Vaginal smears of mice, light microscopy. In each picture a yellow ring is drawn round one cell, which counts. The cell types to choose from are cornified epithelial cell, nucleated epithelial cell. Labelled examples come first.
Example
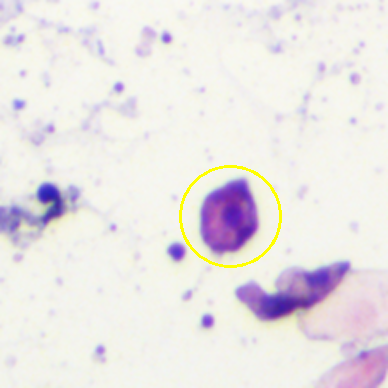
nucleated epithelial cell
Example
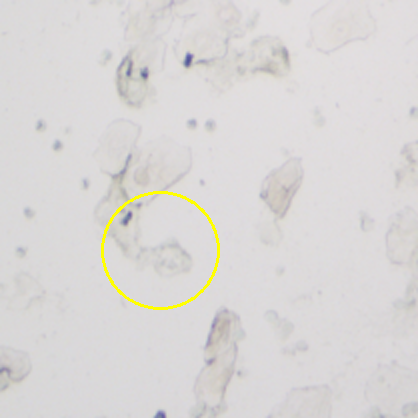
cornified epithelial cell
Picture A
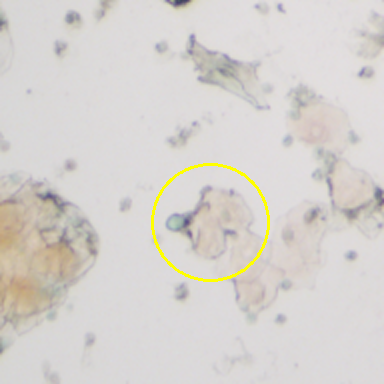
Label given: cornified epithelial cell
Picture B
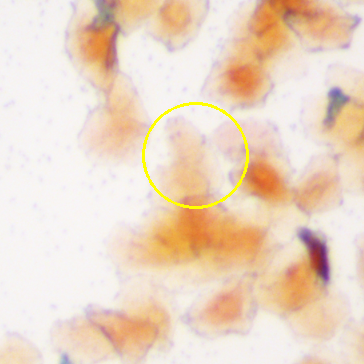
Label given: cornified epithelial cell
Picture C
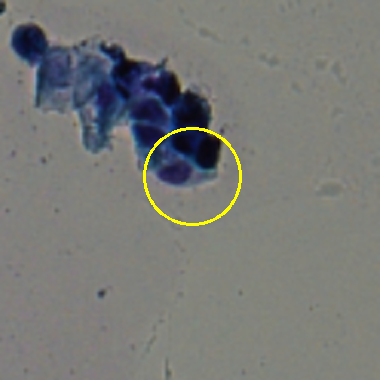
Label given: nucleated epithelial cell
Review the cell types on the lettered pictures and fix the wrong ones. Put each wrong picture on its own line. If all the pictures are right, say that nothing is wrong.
All labels are correct.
